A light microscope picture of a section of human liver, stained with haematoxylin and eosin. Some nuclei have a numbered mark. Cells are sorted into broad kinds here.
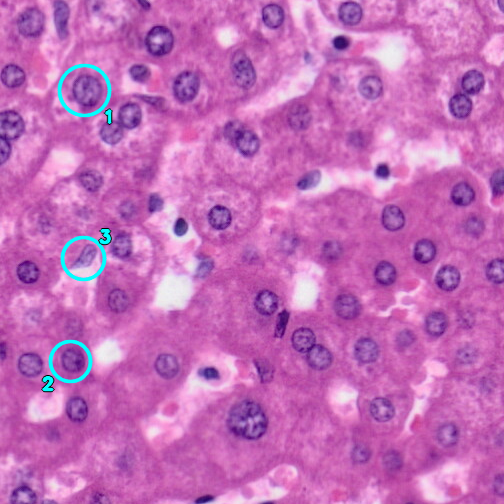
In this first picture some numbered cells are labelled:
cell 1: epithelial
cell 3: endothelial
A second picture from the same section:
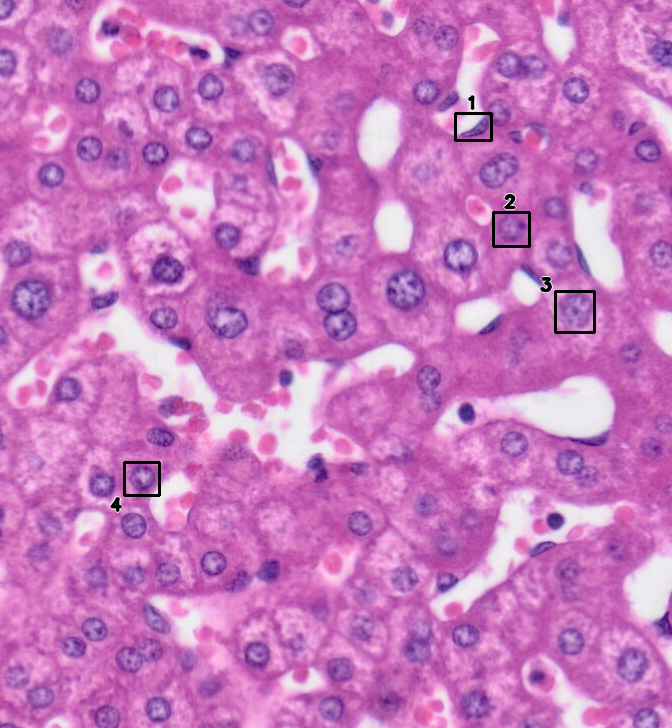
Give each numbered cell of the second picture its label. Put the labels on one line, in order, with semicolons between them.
endothelial; epithelial; epithelial; epithelial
